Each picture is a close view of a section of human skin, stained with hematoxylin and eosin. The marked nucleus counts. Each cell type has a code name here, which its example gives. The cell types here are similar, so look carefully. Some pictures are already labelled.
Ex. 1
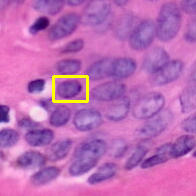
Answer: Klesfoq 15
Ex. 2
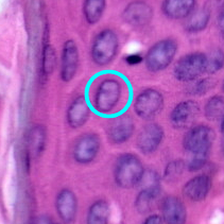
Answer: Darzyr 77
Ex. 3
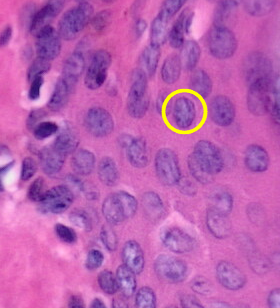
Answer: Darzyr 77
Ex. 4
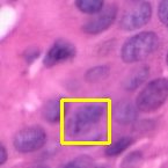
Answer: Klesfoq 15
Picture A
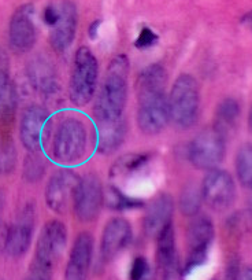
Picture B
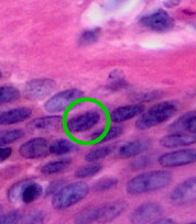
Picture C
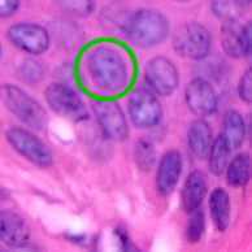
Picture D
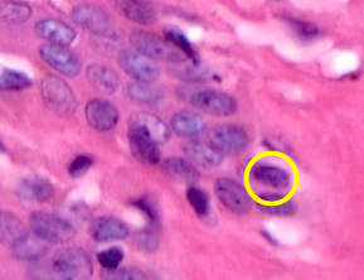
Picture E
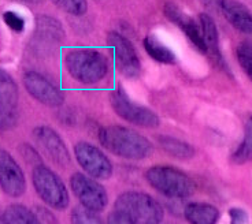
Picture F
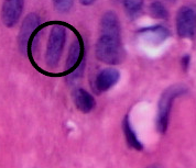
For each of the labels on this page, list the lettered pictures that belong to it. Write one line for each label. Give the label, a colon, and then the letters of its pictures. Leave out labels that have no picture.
Klesfoq 15: B, D, E, F
Darzyr 77: A, C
